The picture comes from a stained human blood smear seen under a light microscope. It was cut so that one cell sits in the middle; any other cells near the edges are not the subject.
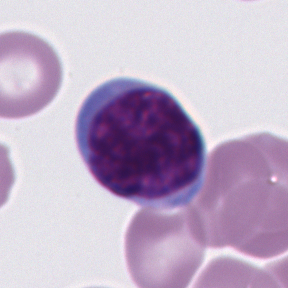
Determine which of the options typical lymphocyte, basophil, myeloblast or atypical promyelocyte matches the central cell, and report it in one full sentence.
The cell around which this crop is centred is a myeloblast.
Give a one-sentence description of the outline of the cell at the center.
Smooth edges only, with no spikes, blebs, or other projections.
